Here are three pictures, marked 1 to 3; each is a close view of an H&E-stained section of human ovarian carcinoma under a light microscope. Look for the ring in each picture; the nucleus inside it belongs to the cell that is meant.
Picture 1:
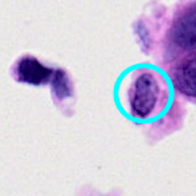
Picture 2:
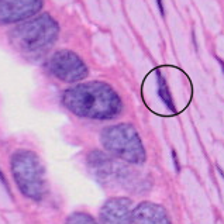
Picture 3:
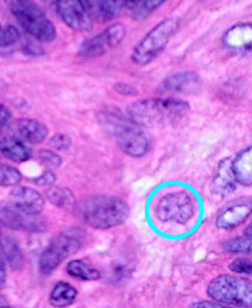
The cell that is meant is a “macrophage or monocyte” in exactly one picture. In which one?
1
